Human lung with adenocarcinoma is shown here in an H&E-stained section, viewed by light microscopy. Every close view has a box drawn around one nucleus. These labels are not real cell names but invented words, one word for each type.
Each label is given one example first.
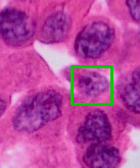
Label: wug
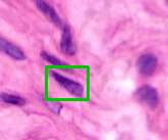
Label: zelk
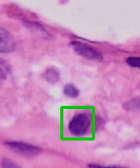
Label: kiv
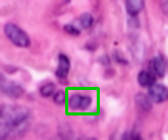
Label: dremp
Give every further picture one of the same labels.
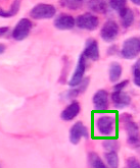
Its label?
dremp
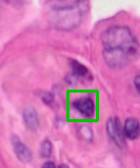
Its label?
kiv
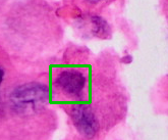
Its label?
wug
